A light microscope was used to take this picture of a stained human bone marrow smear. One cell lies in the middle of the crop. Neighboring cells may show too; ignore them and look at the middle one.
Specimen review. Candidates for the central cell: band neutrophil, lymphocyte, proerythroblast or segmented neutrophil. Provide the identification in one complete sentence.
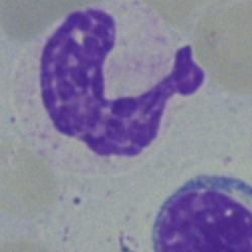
The cell occupying the middle of the crop is a band neutrophil.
